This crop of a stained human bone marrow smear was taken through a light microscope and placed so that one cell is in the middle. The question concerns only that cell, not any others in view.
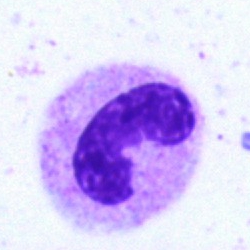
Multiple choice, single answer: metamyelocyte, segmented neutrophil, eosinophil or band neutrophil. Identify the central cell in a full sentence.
The centrally located cell in the crop is a band neutrophil.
